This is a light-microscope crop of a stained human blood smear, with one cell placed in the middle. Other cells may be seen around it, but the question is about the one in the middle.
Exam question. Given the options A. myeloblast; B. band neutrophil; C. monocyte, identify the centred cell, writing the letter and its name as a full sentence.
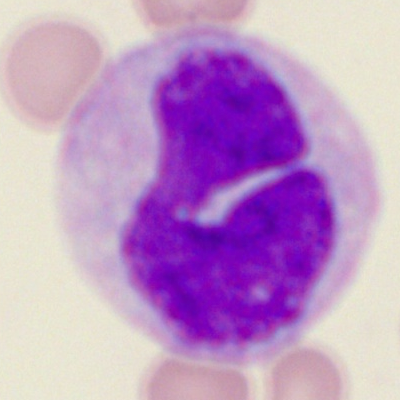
The central cell in this crop is a monocyte, corresponding to option C, the correct option.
